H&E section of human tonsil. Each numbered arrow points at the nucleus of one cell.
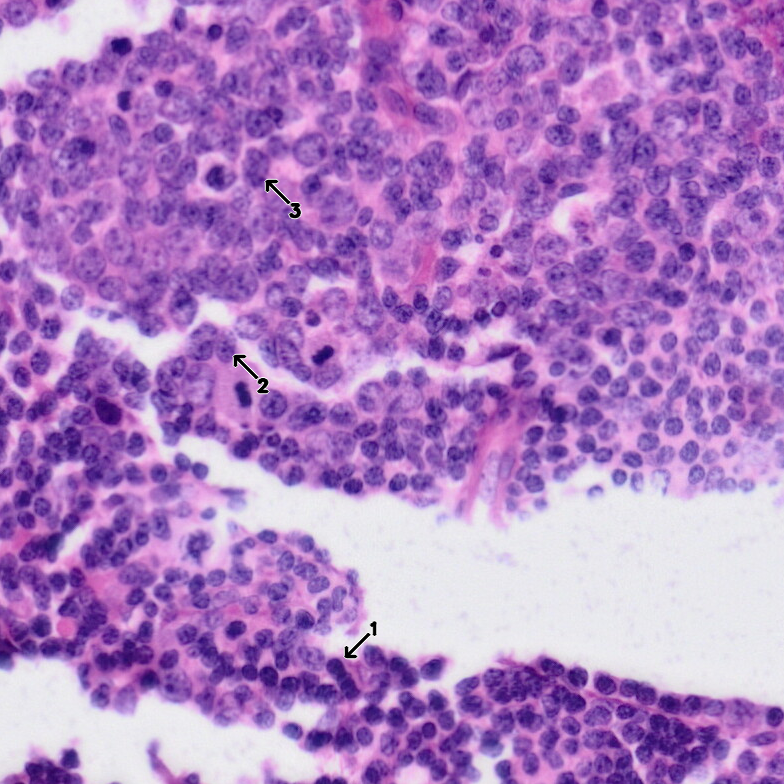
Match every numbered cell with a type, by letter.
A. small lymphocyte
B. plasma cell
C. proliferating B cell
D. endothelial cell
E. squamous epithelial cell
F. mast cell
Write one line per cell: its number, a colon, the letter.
1: A
2: C
3: C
